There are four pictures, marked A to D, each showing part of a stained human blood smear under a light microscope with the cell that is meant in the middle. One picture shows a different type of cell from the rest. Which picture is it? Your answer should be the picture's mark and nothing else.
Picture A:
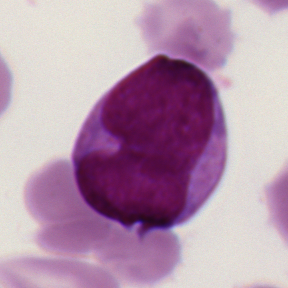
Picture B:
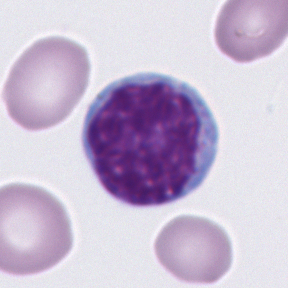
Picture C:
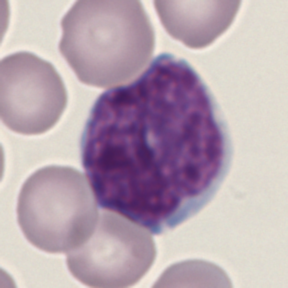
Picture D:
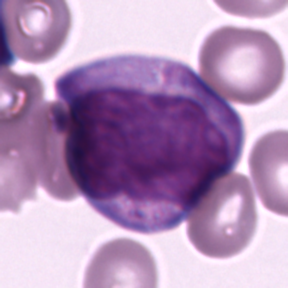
D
